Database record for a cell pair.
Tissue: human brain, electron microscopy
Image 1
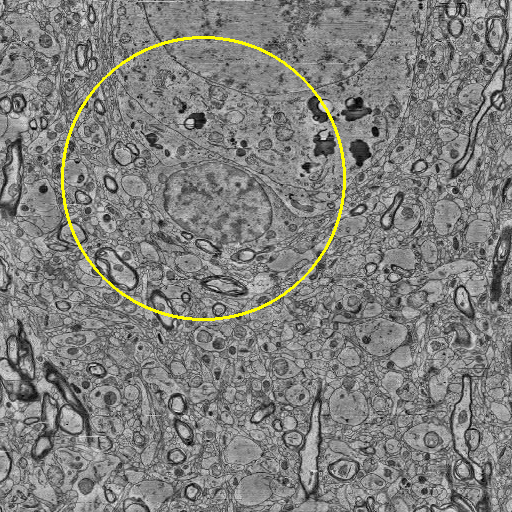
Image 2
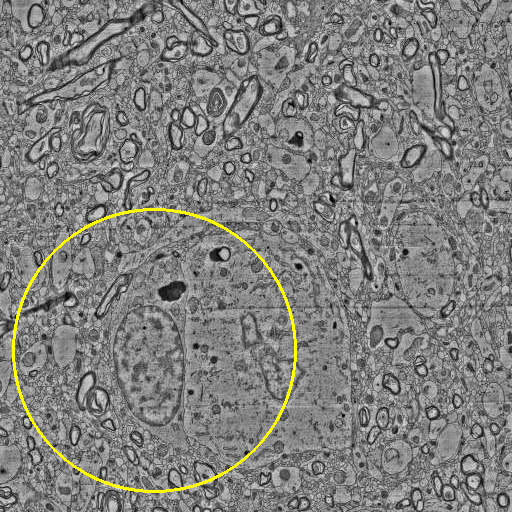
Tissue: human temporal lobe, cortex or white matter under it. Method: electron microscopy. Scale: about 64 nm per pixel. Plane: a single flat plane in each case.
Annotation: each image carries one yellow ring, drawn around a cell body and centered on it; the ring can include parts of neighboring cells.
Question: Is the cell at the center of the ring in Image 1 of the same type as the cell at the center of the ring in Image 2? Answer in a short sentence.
Yes, the cells are of the same type.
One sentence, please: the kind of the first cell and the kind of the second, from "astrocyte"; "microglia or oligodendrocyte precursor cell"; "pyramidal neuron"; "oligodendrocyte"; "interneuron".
The second cell is an oligodendrocyte, just as the first is.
